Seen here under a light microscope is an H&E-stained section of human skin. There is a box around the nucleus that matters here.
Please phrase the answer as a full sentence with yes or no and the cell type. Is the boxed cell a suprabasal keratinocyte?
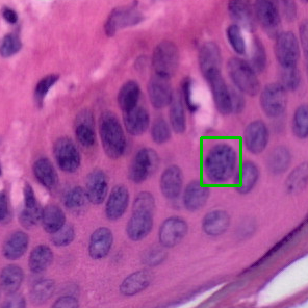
No, in this tissue section, the boxed cell is not a suprabasal keratinocyte but a basal keratinocyte.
